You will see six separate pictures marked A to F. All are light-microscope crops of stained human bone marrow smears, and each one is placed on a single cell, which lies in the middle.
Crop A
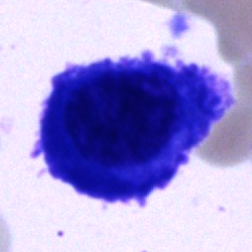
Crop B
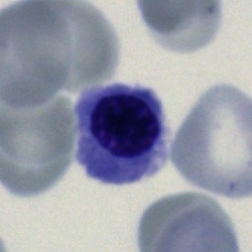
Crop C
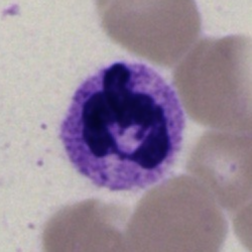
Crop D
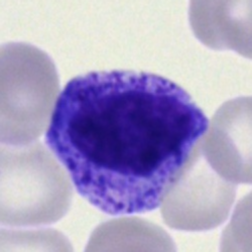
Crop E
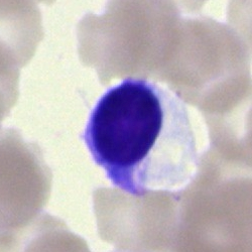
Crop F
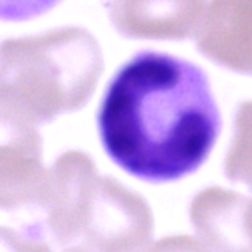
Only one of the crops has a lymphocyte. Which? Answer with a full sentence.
Of the crops shown, crop E depicts a lymphocyte.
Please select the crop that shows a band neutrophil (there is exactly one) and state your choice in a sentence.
In this set, crop F is the one showing a band neutrophil.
